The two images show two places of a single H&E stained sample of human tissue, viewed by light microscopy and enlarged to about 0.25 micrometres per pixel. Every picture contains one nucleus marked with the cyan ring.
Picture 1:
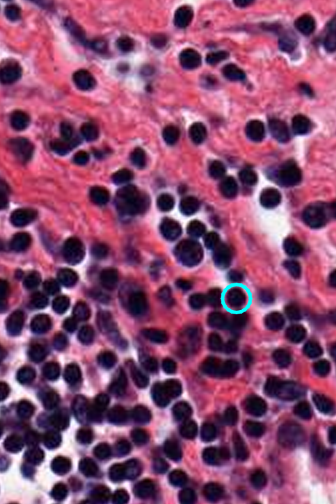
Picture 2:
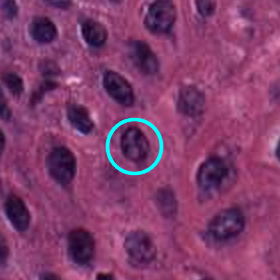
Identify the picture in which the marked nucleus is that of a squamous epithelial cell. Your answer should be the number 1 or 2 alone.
2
